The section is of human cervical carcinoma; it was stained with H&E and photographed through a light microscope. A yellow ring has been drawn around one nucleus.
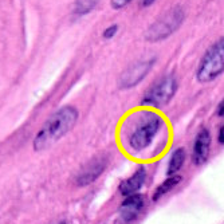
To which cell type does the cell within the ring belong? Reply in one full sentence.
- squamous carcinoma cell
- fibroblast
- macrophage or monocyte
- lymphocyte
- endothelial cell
The cell meant here is a squamous carcinoma cell.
